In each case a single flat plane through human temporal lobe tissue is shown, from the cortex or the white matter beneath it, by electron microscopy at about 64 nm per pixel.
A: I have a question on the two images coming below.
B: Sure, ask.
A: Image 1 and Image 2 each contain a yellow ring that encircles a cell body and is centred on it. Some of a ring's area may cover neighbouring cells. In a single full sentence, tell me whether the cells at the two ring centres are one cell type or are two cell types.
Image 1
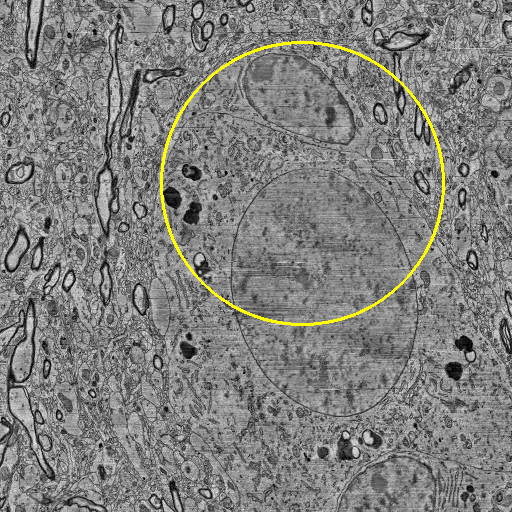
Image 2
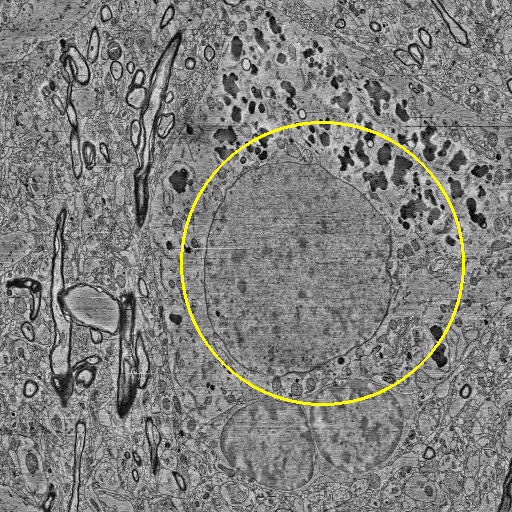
As for the ring-centre cells, the one in Image 1 and the one in Image 2 are one cell type.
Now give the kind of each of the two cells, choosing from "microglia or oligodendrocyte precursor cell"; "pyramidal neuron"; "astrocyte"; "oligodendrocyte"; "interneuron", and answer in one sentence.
Each cell at the centre of a ring is a pyramidal neuron.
